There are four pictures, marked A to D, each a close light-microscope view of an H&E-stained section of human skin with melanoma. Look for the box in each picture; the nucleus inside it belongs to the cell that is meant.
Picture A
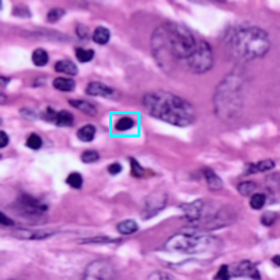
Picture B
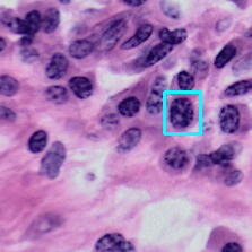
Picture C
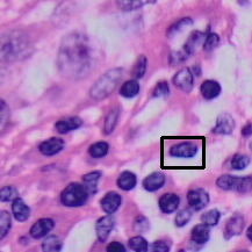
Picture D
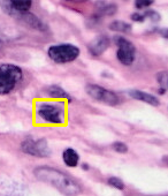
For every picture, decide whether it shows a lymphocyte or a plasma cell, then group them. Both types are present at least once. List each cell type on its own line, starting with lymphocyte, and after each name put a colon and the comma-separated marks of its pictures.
lymphocyte: A, C, D
plasma cell: B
